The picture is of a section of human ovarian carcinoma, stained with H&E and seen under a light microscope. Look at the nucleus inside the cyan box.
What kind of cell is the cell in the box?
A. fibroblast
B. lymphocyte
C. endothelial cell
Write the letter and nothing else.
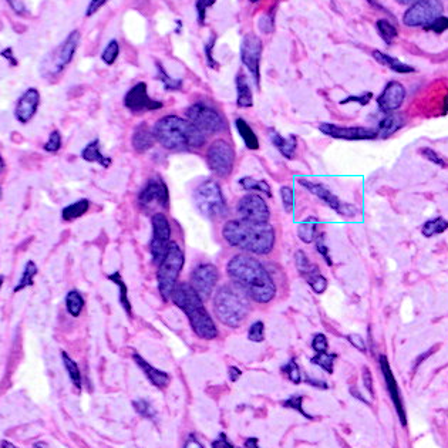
A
